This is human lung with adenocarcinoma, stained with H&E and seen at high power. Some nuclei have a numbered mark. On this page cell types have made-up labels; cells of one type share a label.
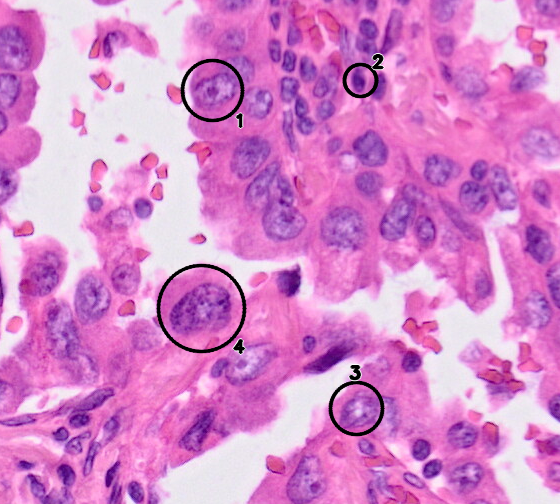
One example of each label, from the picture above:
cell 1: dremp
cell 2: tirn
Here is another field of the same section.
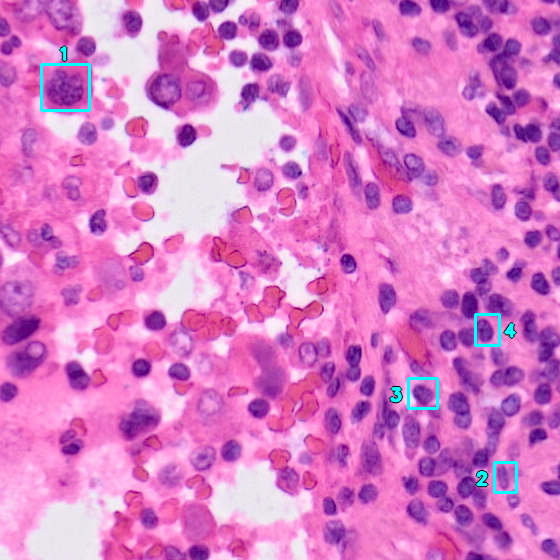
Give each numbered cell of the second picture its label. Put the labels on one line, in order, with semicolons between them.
dremp; tirn; tirn; tirn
